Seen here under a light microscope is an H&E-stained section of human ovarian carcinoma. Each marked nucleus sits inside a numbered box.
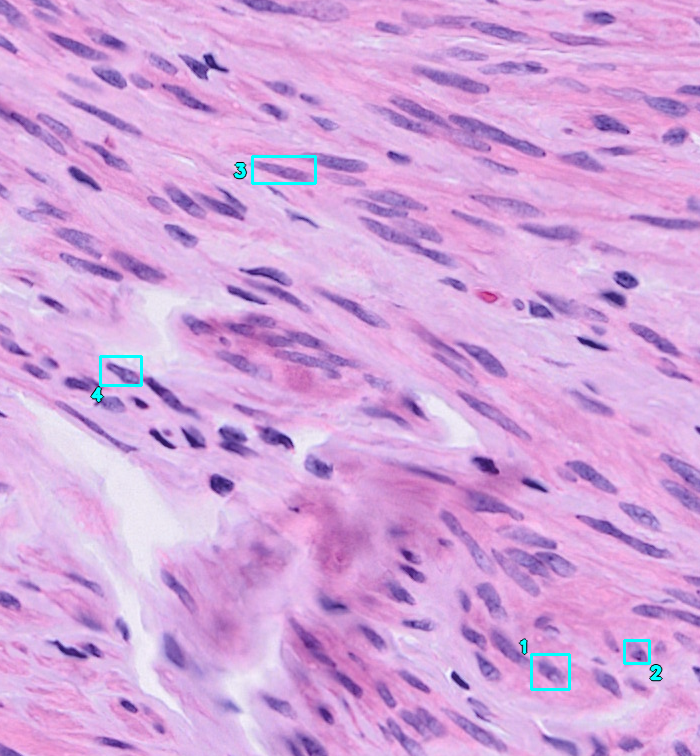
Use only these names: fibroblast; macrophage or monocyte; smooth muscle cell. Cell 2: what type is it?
smooth muscle cell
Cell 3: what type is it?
smooth muscle cell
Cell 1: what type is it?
smooth muscle cell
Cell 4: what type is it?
fibroblast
